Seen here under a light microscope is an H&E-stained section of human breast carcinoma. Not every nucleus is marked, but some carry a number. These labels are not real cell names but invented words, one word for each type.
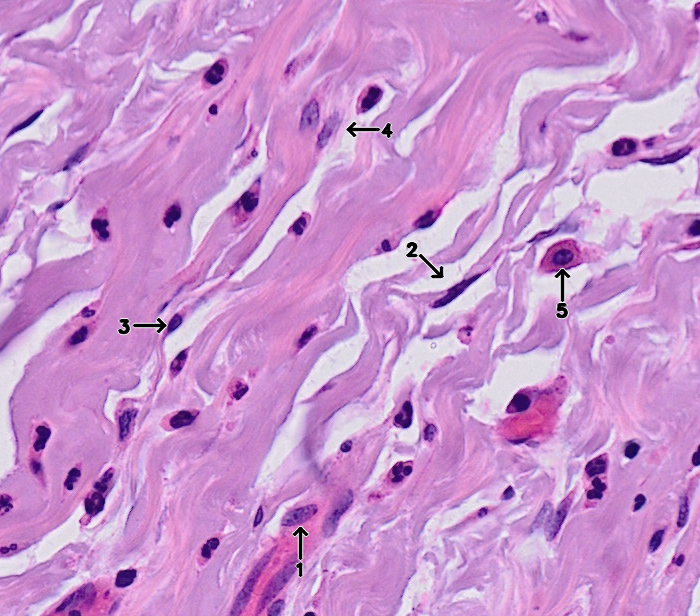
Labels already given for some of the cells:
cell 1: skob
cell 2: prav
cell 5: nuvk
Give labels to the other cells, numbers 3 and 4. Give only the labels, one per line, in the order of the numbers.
prav
prav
